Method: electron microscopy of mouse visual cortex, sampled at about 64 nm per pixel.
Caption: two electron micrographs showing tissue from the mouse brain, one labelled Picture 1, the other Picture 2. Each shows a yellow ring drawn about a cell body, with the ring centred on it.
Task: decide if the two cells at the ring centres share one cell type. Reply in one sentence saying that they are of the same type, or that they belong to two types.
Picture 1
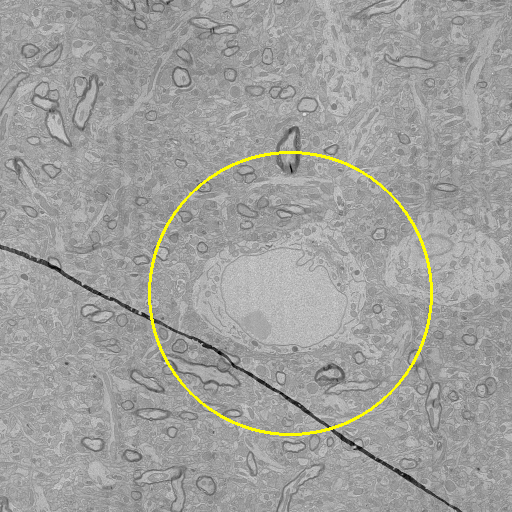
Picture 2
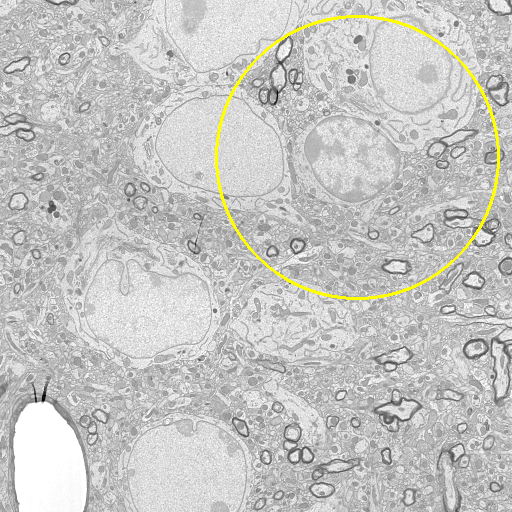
The cells at the ring centres in Picture 1 and Picture 2 belong to two types.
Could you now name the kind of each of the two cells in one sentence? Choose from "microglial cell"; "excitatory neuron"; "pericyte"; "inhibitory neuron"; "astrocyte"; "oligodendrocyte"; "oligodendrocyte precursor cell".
The first ring encloses an excitatory neuron; the second ring encloses an oligodendrocyte.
